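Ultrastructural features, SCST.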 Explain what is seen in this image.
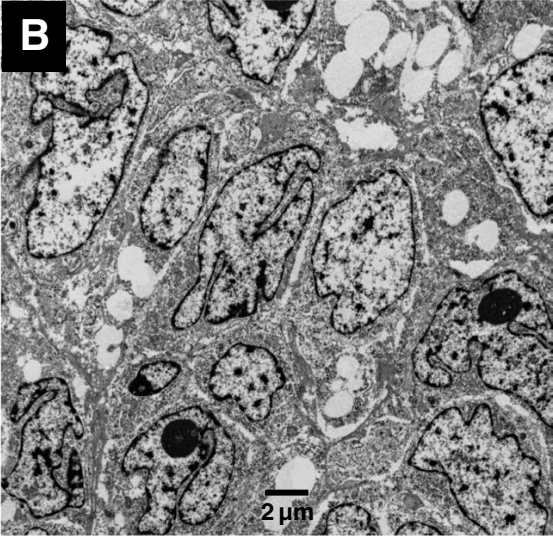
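This tumour consists of closely packed polygonal cells. Their nuclei have irregular, folded and indented nuclear membranes, with dispersed chromatin and small dark clumps. Some nuclei show a prominent dense nucleolus. The cytoplasm between the nuclei is granular, with scattered pale round vacuoles.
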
